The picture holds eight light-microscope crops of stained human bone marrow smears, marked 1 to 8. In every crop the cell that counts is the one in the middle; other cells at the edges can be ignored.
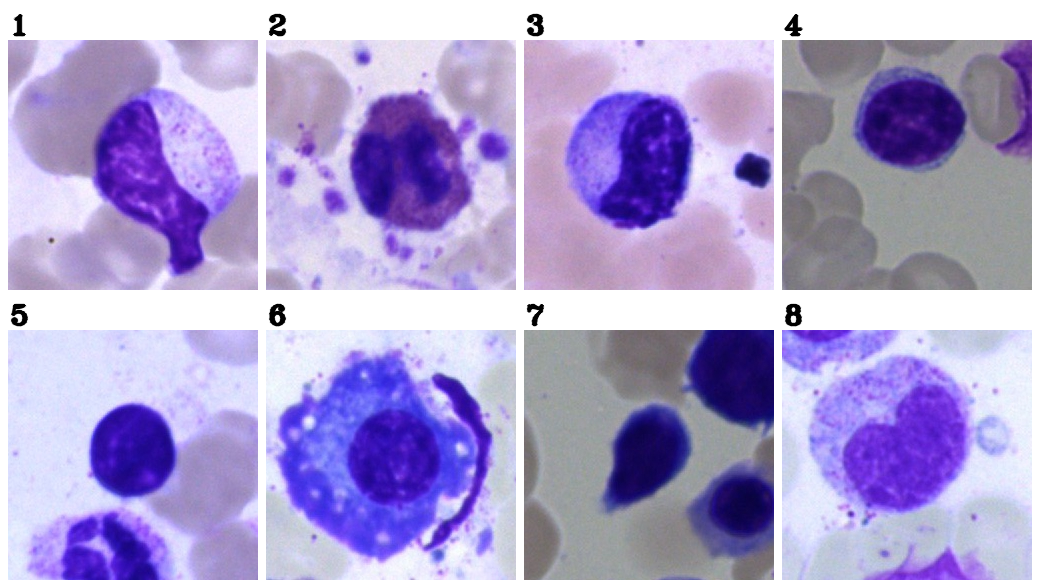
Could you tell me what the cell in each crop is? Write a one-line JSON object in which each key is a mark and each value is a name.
{"1": "metamyelocyte", "2": "eosinophil", "3": "metamyelocyte", "4": "lymphocyte", "5": "lymphocyte", "6": "plasma cell", "7": "lymphocyte", "8": "metamyelocyte"}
